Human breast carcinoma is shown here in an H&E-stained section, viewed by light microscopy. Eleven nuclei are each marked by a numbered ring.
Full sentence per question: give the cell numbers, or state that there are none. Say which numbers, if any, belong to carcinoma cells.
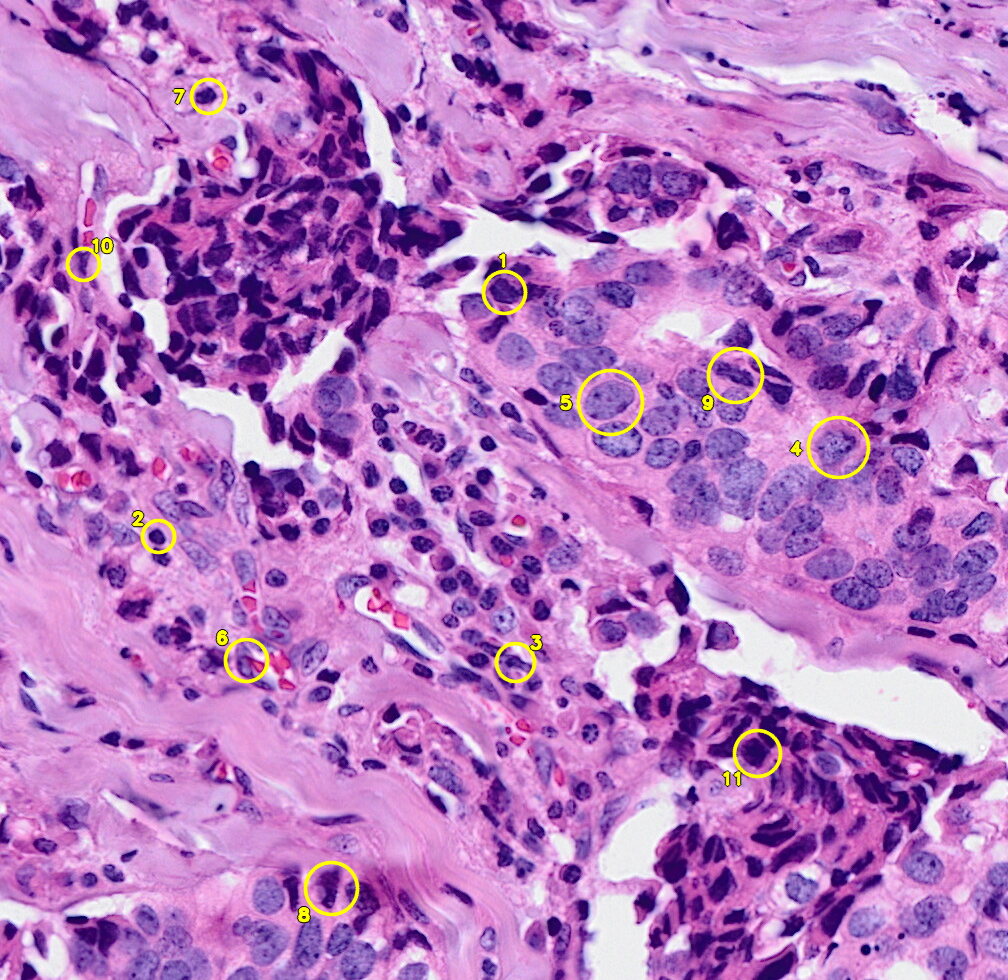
The cells that have numbers 1, 4, 5, 8, 9 and 11 are carcinoma cells.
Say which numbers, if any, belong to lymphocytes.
The cells the numbers 2, 3 and 7 point to are lymphocytes.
